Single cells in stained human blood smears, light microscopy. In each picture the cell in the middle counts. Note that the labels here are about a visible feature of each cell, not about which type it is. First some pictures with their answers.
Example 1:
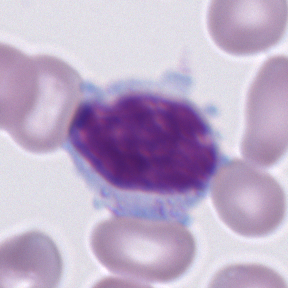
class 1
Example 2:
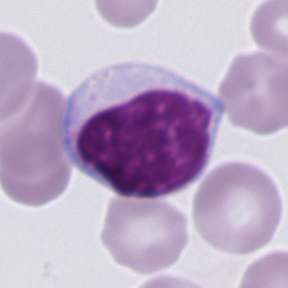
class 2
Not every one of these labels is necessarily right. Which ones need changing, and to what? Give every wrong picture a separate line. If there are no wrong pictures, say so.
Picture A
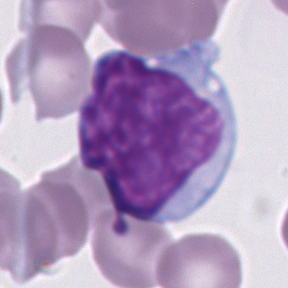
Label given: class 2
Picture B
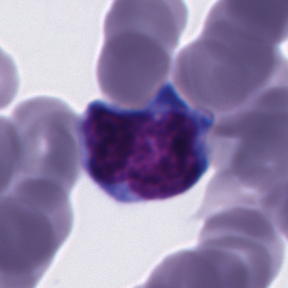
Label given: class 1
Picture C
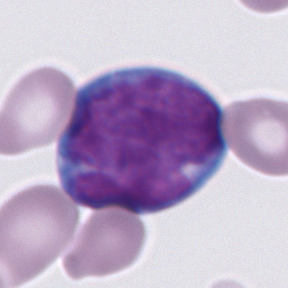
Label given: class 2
A: class 1, not class 2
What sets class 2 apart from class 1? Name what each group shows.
Seen in class 2: smooth outline; seen in class 1: ragged outline or projections.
